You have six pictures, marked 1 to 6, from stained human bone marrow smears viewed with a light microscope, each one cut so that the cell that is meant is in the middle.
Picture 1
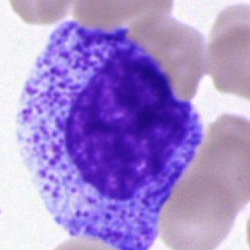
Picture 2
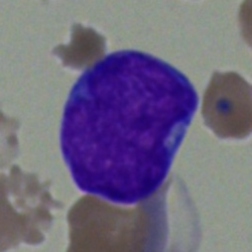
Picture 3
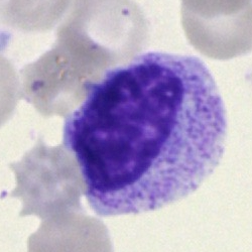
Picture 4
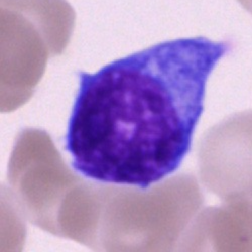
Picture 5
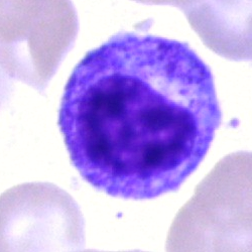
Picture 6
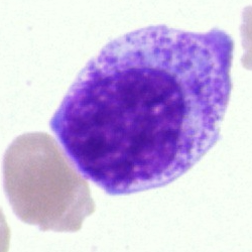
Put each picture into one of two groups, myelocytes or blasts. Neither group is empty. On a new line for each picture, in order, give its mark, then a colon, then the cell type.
1: myelocyte
2: blast
3: myelocyte
4: blast
5: myelocyte
6: myelocyte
